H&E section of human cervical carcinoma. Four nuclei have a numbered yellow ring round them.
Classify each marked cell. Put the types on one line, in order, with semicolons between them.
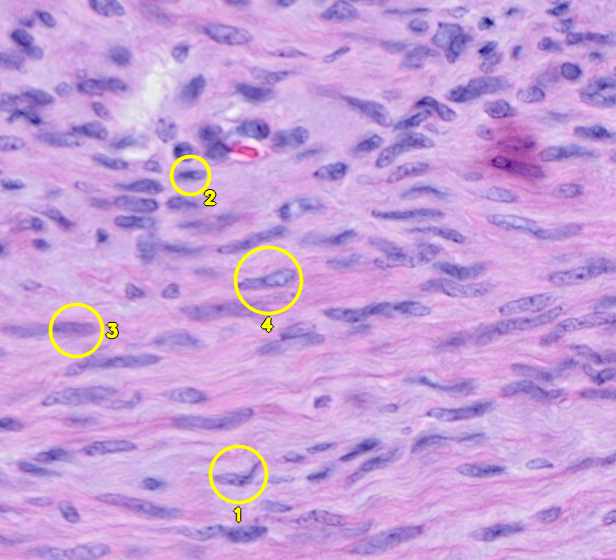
smooth muscle cell; fibroblast; smooth muscle cell; smooth muscle cell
